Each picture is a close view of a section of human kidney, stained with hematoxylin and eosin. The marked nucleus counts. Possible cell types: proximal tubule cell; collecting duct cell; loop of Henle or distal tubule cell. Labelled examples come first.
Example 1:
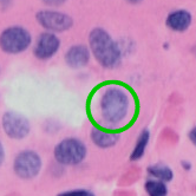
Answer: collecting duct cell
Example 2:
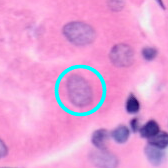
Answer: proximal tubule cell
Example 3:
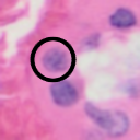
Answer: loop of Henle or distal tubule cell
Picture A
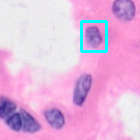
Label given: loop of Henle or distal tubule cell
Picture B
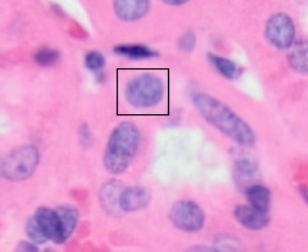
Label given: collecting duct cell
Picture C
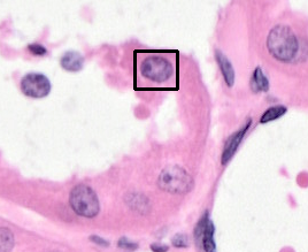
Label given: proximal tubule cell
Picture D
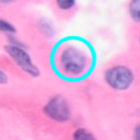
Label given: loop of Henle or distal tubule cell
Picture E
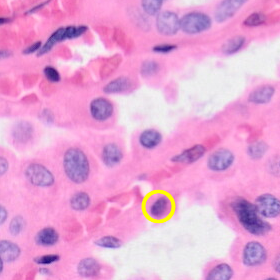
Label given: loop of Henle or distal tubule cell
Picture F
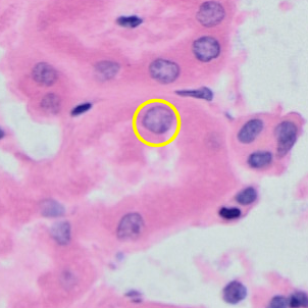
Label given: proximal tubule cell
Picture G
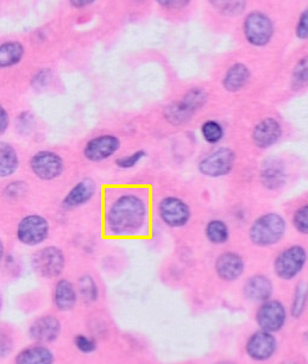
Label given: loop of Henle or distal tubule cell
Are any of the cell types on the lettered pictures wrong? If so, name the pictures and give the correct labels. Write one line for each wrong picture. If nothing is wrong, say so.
No label is wrong.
